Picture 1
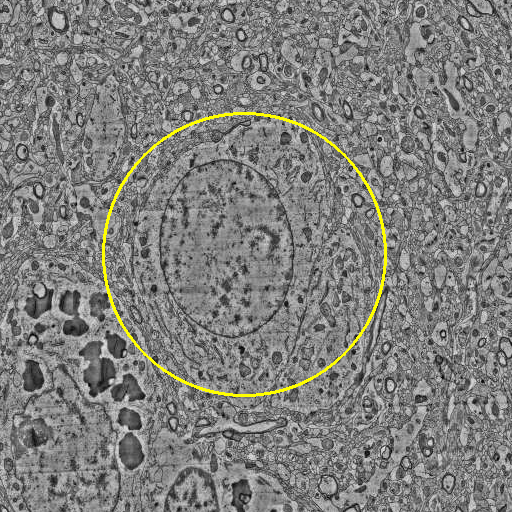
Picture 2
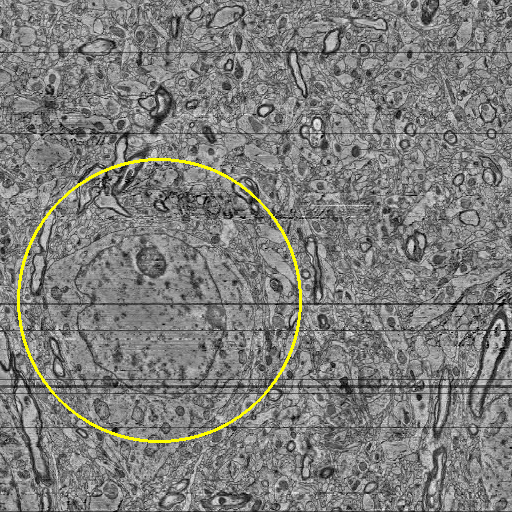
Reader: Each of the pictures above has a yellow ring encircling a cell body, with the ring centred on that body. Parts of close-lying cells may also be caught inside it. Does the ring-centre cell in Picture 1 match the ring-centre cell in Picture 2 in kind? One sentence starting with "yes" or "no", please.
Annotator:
Yes, Picture 1 and Picture 2 show ring-centre cells of a single kind.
